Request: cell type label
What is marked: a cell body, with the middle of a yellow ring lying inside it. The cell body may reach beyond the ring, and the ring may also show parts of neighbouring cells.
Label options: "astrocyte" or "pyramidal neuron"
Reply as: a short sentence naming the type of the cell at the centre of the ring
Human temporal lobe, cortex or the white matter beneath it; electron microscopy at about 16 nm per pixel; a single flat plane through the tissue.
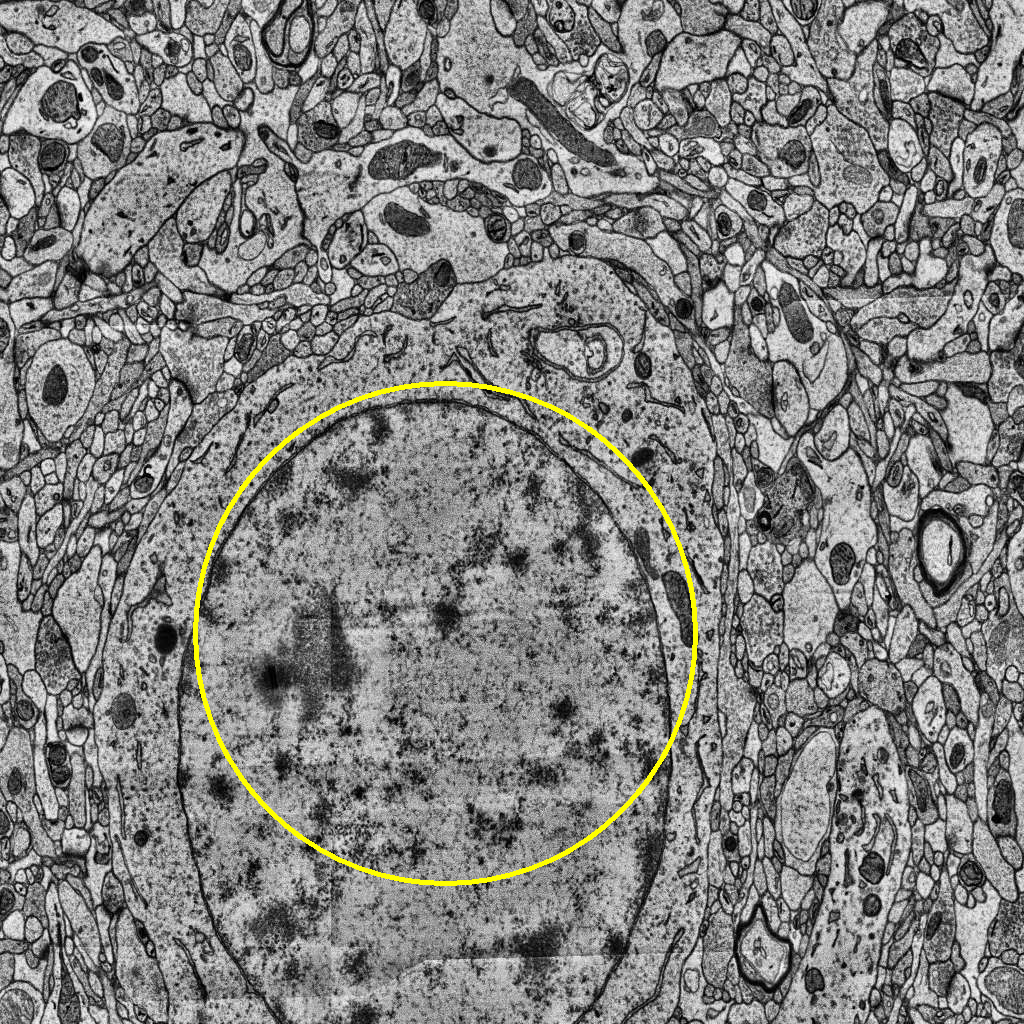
The marked cell body is that of a pyramidal neuron.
